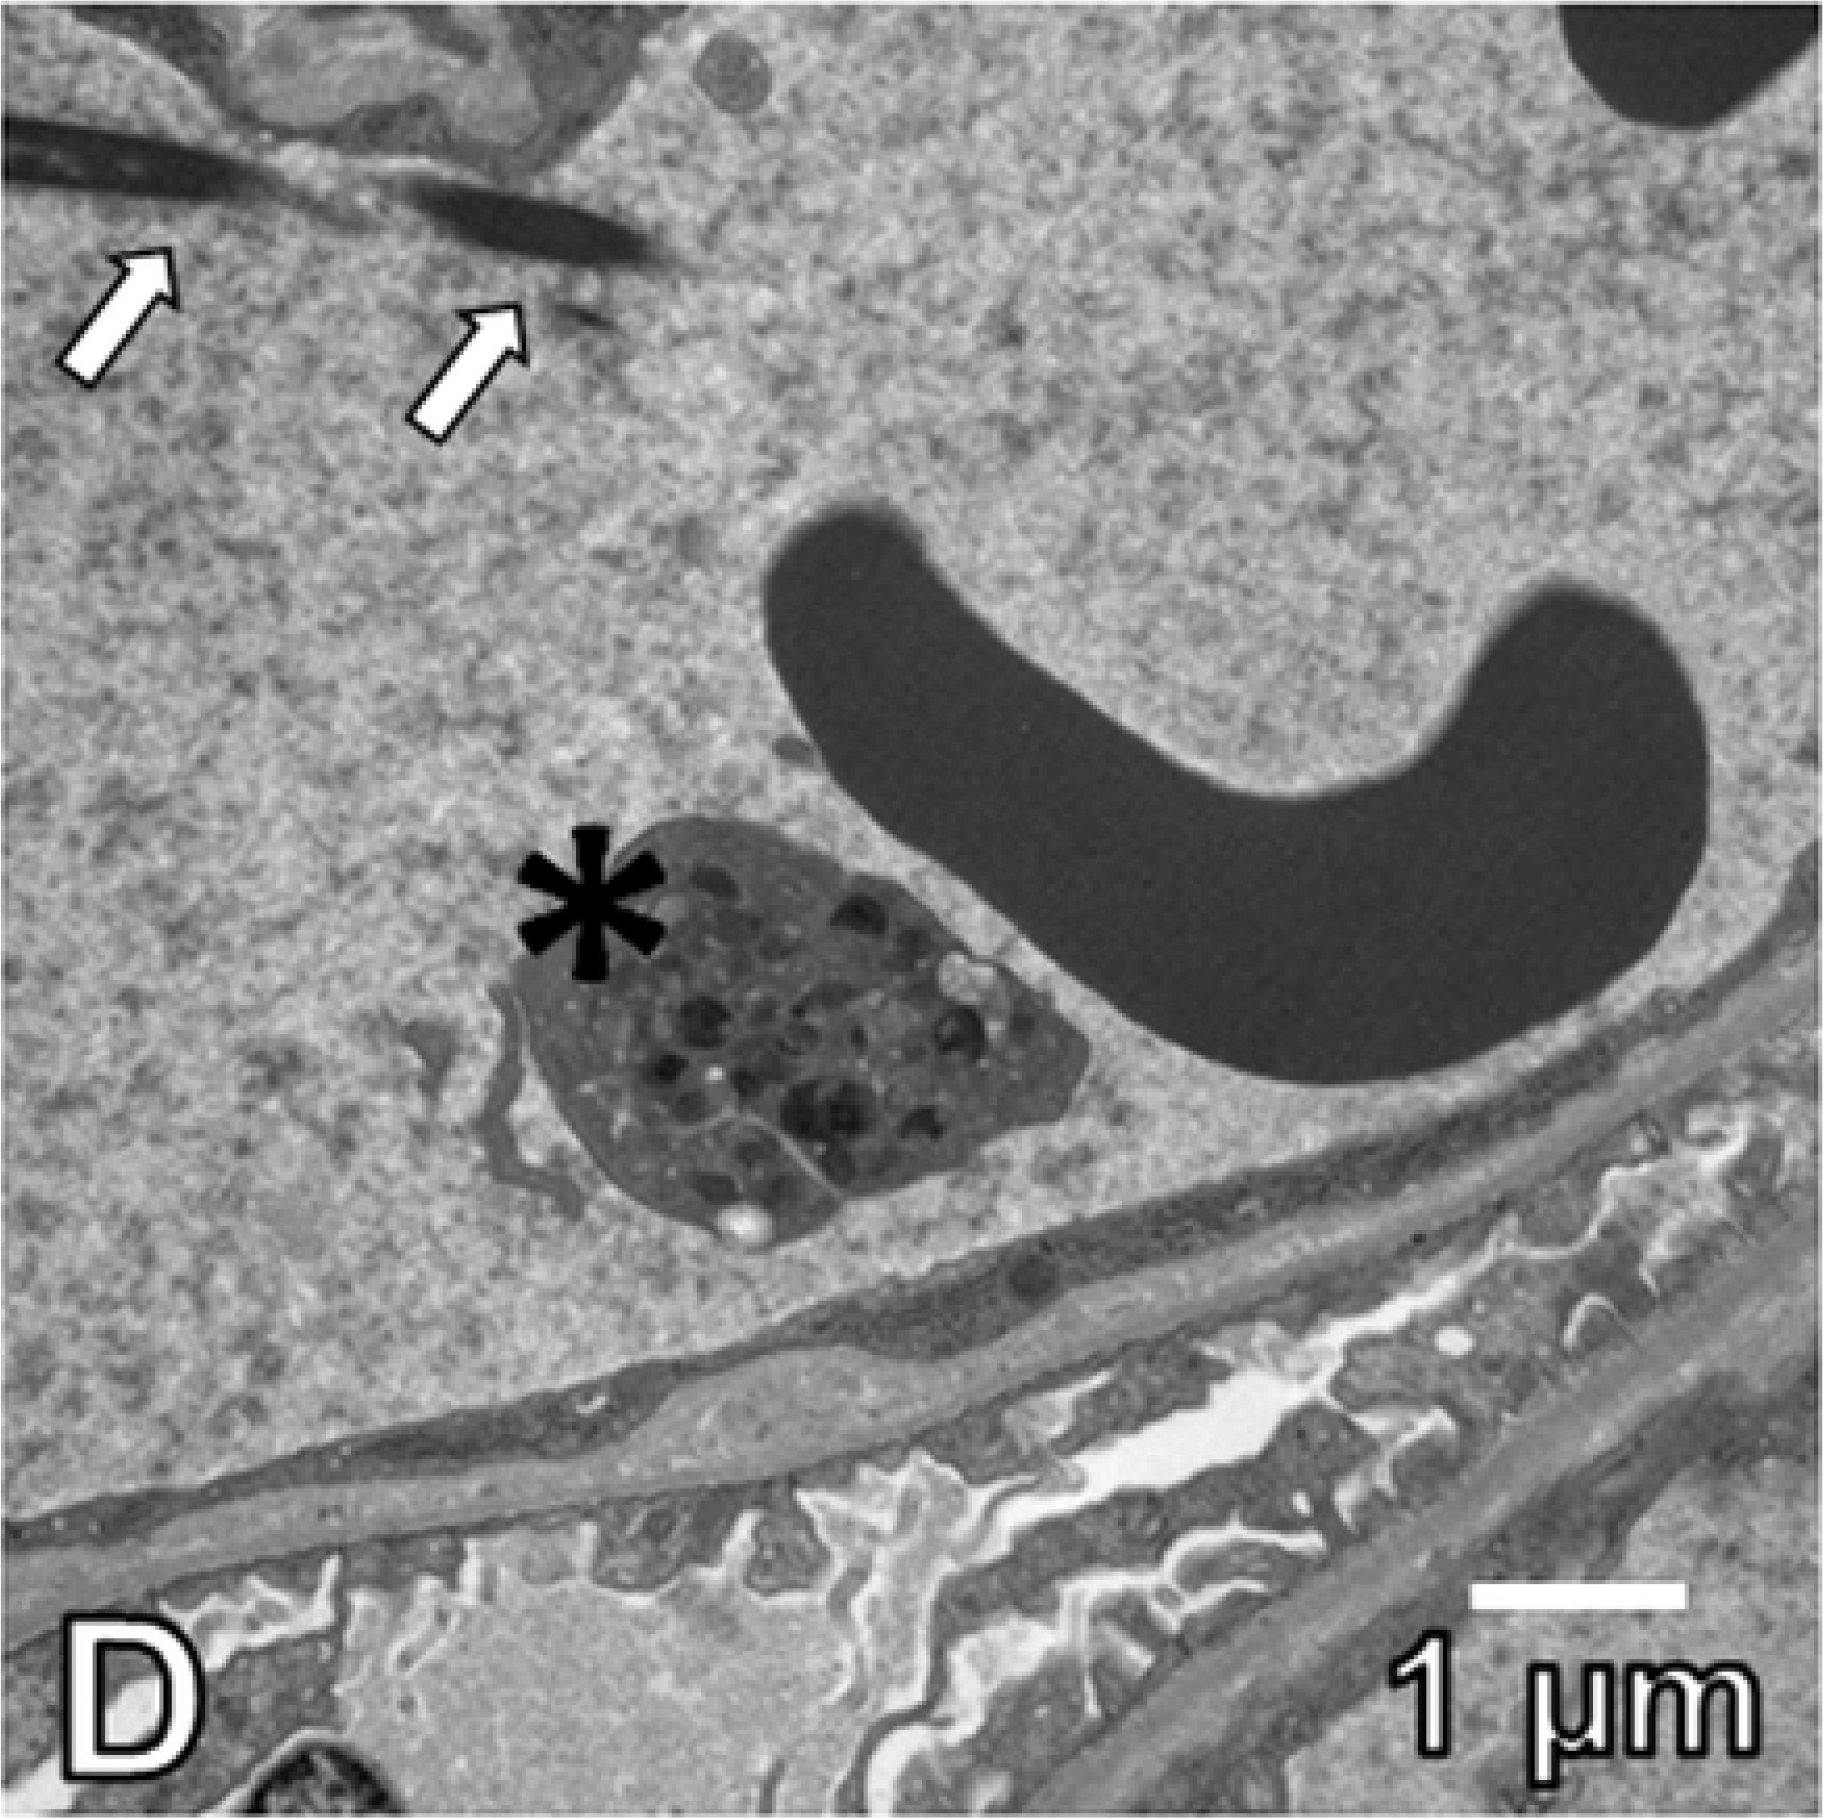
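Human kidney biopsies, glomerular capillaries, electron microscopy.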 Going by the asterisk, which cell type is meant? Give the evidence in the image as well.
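Platelets. A small oval body without a nucleus lies in the capillary lumen. It contains many dark round granules. It lies next to a dark curved red blood cell.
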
